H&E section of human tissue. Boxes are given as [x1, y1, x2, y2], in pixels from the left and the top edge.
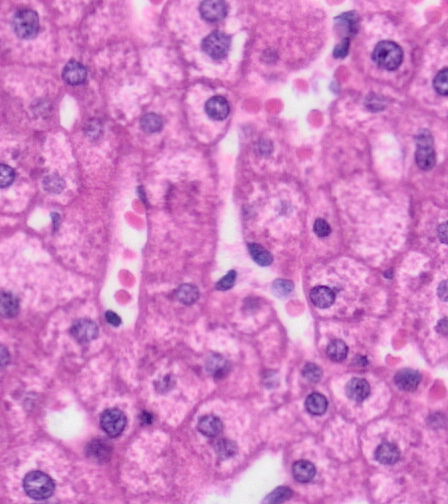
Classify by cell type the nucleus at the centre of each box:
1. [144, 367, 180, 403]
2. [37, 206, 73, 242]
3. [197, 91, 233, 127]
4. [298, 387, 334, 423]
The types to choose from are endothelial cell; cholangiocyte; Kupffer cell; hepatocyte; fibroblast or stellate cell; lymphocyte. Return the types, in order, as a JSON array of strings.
["hepatocyte", "endothelial cell", "hepatocyte", "hepatocyte"]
